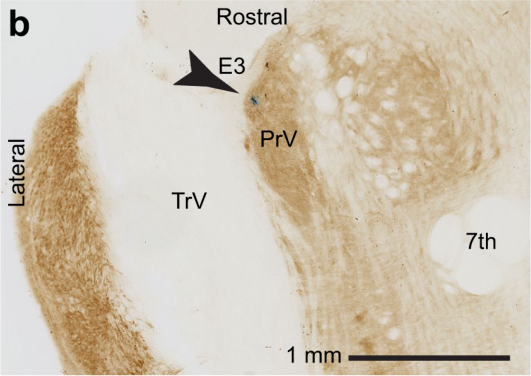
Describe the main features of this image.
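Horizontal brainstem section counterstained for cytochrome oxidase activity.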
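A broad, nearly unstained pale band runs down the middle of the section. On either side of it lies brown-stained tissue: a fibrous-looking strip along the left edge, and a denser, finely granular brown region to the right. Further to the right, the tissue has a coarser, patchy texture with many pale rounded holes, and a large round pale opening sits near the lower right.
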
